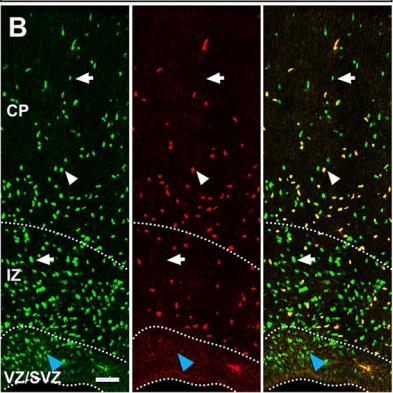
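Many small, round to elongated labelled nuclei are scattered through all zones, and green labelling is densest in the bottom zone. In the merged image many cells appear yellow, labelled in both colours, while others remain green only.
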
